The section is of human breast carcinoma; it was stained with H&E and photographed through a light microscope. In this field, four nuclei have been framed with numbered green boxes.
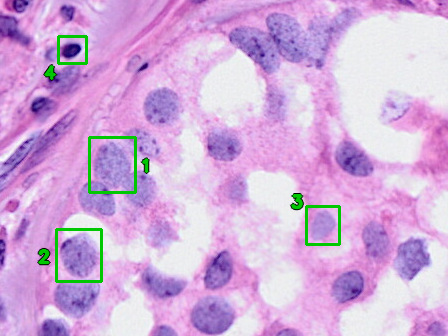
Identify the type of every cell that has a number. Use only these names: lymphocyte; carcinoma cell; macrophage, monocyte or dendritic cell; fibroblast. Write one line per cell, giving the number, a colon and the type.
1: carcinoma cell
2: carcinoma cell
3: carcinoma cell
4: lymphocyte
